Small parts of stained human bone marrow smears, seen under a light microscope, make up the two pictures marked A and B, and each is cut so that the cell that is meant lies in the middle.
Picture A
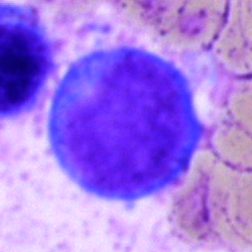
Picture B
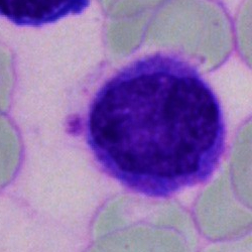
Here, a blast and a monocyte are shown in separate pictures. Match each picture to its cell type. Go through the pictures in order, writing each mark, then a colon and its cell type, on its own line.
A: blast
B: monocyte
